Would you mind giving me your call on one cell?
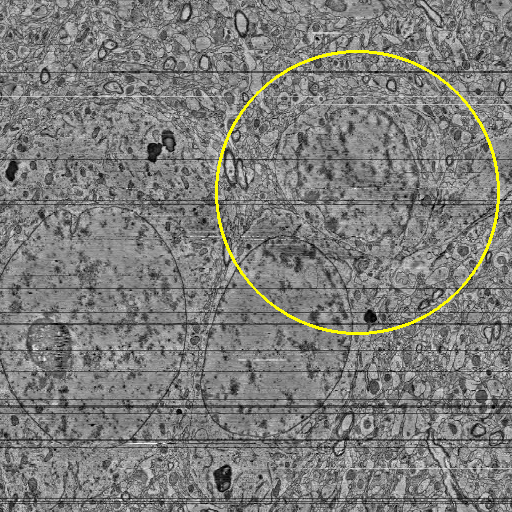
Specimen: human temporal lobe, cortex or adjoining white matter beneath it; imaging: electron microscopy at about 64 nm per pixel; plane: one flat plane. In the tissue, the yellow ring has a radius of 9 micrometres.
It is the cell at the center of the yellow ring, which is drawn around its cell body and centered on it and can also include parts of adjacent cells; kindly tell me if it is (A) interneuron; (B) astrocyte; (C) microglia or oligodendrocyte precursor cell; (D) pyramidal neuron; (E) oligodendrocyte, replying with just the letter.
A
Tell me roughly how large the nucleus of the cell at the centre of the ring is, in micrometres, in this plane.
The nucleus appears roughly 10 by 8 micrometres in this plane.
